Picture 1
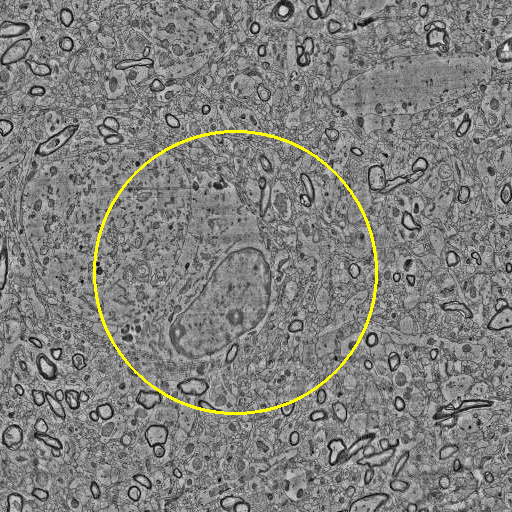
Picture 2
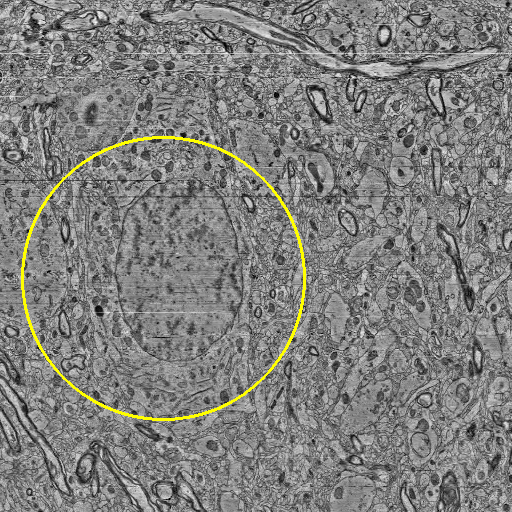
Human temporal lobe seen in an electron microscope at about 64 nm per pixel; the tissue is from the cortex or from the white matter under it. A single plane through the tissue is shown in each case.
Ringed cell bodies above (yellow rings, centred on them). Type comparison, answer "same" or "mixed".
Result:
mixed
